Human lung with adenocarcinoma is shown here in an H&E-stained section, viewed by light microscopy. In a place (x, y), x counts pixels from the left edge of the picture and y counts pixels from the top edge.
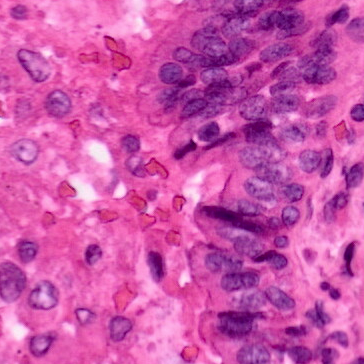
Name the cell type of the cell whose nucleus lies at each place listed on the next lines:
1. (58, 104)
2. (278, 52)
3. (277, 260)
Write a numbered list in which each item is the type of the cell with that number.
1. macrophage or monocyte
2. ciliated epithelial cell
3. ciliated epithelial cell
